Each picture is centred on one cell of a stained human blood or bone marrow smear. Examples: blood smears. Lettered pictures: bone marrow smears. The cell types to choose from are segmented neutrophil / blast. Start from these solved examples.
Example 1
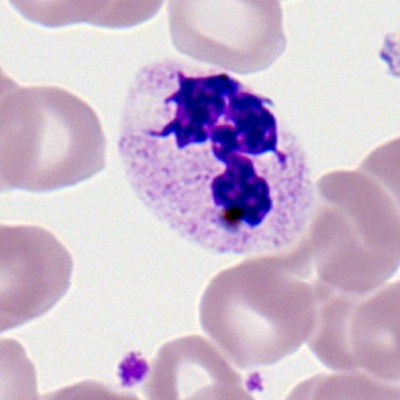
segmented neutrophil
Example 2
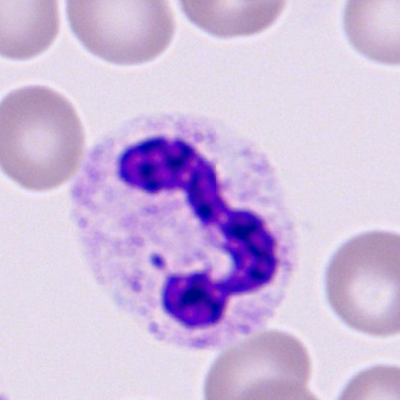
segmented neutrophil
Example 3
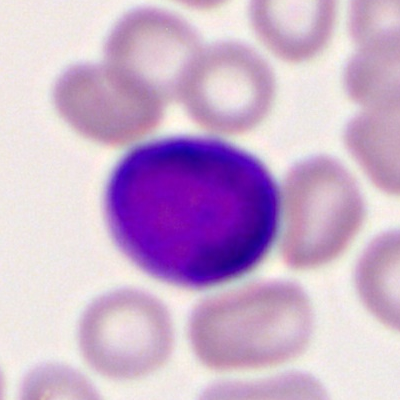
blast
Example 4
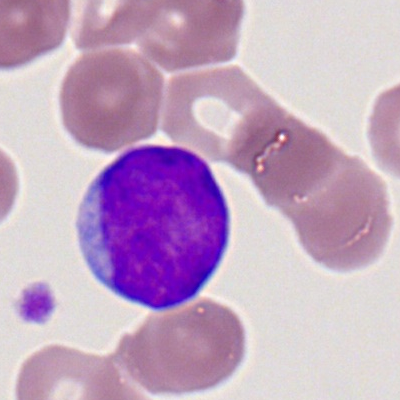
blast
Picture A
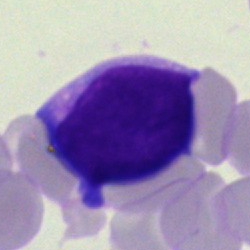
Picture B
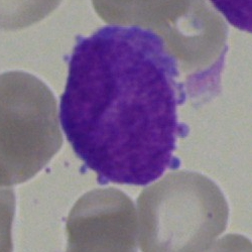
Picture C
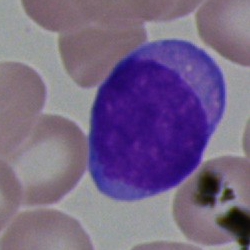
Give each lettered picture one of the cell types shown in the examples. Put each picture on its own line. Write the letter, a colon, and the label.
A: blast
B: blast
C: blast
